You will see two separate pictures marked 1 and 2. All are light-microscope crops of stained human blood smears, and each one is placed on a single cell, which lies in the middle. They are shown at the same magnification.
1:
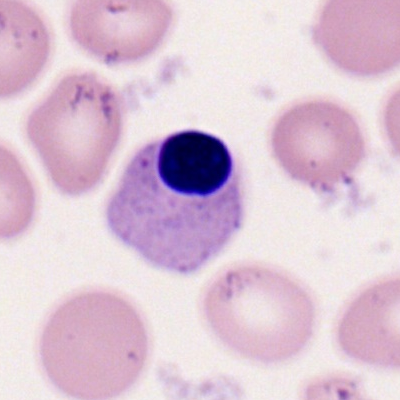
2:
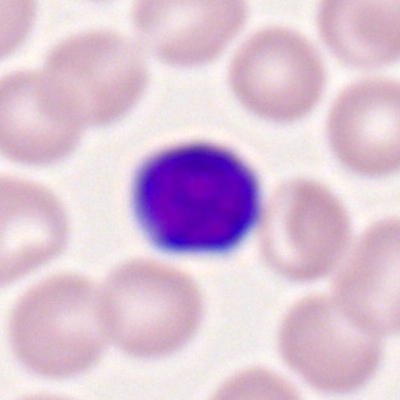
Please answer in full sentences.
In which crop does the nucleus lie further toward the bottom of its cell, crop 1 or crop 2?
In crop 2 the nucleus is shifted more toward the bottom.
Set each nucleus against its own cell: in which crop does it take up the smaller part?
In crop 1 the nucleus takes up the smaller part of its cell.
